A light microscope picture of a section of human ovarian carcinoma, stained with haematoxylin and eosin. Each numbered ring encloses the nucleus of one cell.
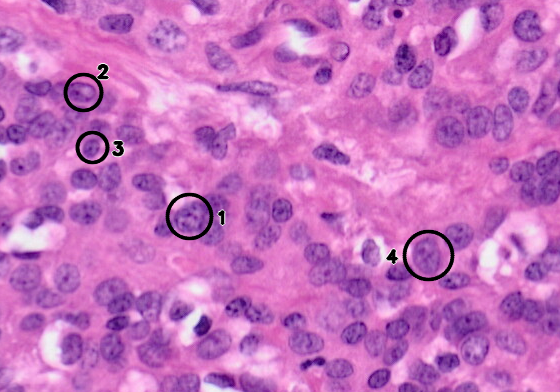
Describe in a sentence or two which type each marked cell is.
Cell 1 is a carcinoma cell, cell 2 is a carcinoma cell, cell 3 is a macrophage or monocyte and cell 4 is a carcinoma cell.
